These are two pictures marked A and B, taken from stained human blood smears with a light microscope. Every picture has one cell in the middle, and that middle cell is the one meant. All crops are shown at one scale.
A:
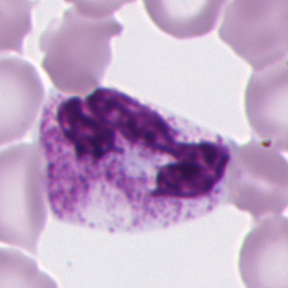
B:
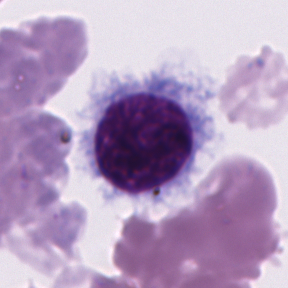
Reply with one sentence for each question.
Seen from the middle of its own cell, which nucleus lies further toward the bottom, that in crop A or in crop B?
In crop B the nucleus is shifted more toward the bottom.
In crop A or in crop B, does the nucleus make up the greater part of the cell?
The nucleus fills more of the cell in crop B than in crop A.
